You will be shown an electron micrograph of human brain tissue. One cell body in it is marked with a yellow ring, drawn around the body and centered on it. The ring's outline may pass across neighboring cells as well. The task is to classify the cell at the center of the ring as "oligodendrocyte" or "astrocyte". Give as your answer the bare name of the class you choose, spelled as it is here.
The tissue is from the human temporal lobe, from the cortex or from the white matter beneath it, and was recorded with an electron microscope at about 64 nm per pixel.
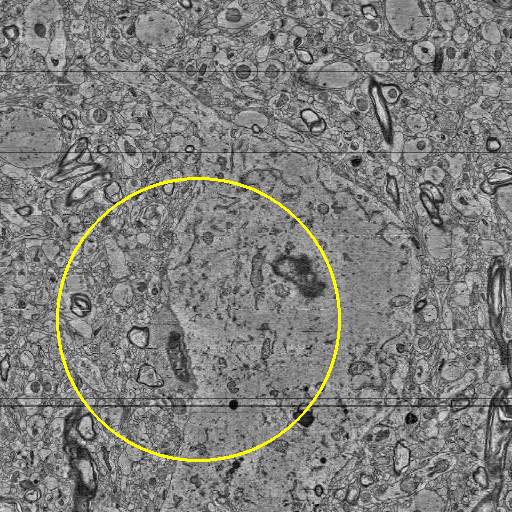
oligodendrocyte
